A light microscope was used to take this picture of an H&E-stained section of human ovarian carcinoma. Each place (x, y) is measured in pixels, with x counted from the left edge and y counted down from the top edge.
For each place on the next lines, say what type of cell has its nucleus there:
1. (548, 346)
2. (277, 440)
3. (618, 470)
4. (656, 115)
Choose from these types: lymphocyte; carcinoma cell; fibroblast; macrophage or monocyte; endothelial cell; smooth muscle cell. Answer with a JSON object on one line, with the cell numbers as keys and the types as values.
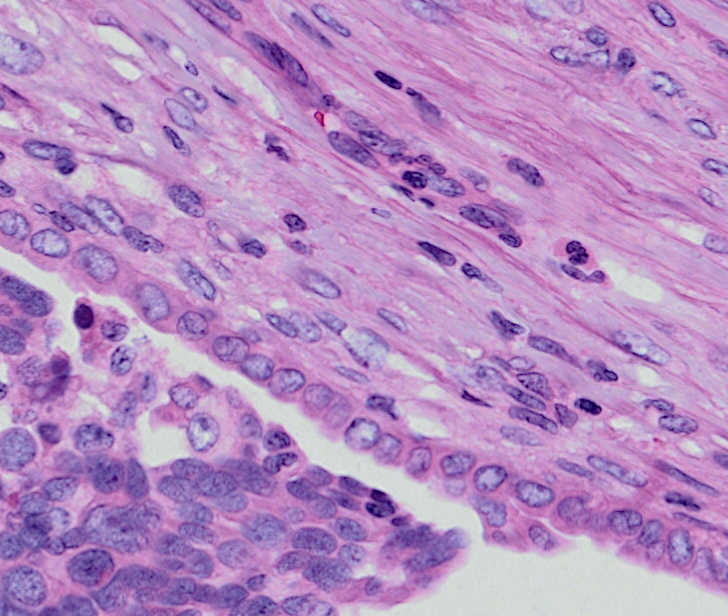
{"1": "fibroblast", "2": "macrophage or monocyte", "3": "fibroblast", "4": "fibroblast"}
